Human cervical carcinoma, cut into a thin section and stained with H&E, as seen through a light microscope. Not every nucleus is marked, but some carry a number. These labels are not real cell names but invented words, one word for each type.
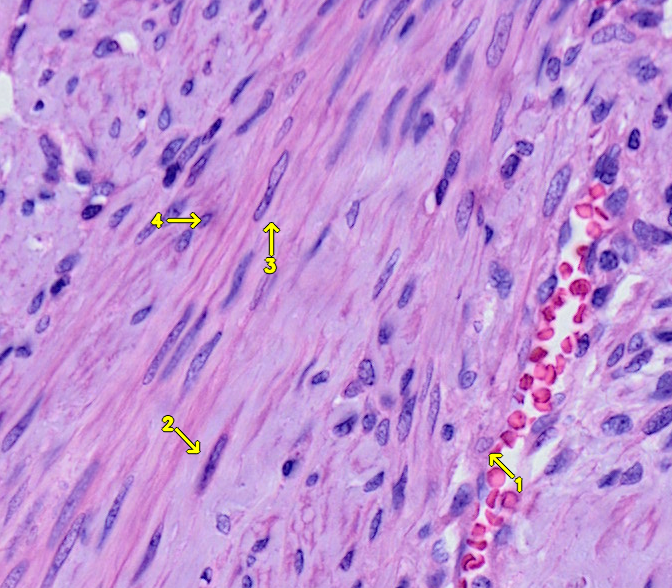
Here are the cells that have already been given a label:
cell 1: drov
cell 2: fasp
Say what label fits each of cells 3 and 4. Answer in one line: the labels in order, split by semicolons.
fasp; fasp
